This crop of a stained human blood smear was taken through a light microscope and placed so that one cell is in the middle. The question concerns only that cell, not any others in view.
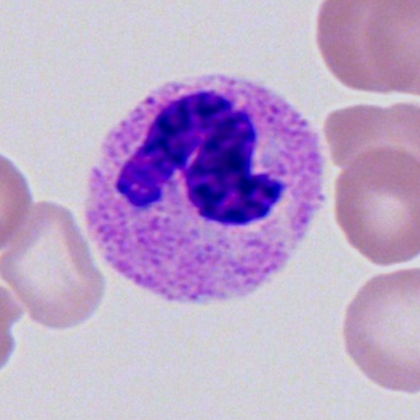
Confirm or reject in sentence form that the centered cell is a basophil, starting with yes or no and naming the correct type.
No, the cell under consideration is a segmented neutrophil instead of a basophil.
